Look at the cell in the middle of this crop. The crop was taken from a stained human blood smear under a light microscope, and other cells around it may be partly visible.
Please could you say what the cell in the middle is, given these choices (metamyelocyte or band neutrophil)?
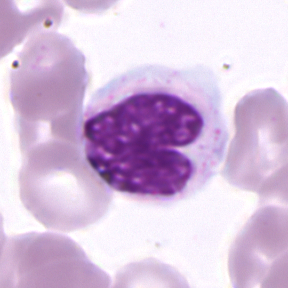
band neutrophil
